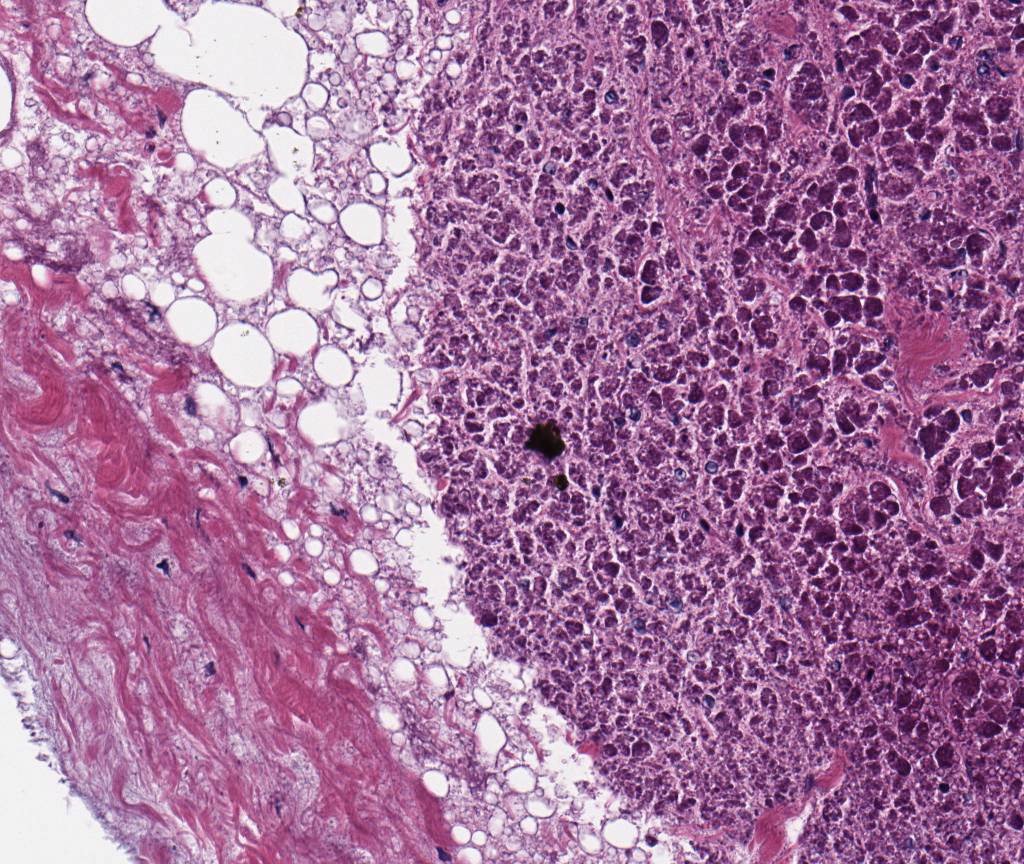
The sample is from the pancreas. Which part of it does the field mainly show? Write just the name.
exocrine pancreas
